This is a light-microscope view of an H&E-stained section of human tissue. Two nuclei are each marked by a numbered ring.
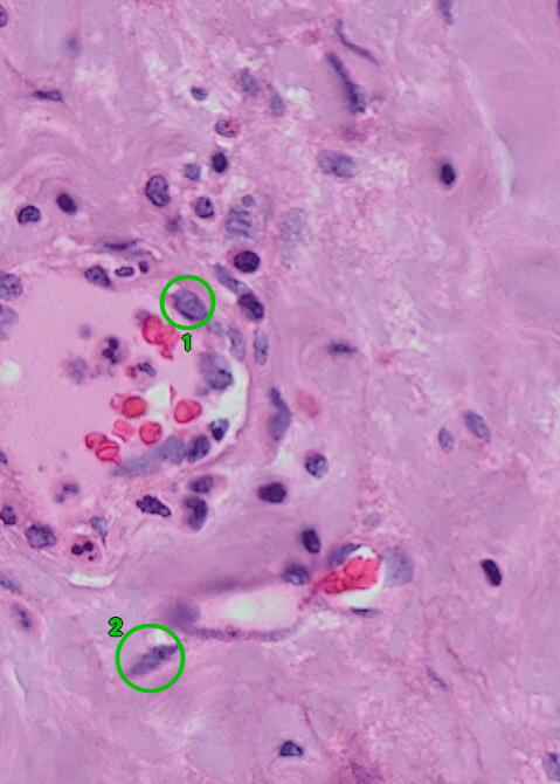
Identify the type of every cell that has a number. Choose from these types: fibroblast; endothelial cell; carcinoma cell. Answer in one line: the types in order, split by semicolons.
endothelial cell; fibroblast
